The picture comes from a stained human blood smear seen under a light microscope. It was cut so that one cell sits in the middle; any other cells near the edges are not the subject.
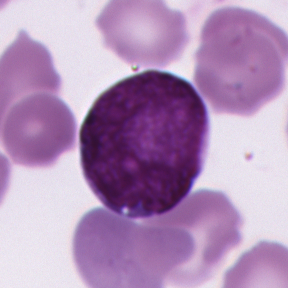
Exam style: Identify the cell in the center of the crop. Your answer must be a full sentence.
In the centre of this crop there is a myeloblast.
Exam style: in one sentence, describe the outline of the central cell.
Thanks for asking; the cell edge is smooth and has no projections.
